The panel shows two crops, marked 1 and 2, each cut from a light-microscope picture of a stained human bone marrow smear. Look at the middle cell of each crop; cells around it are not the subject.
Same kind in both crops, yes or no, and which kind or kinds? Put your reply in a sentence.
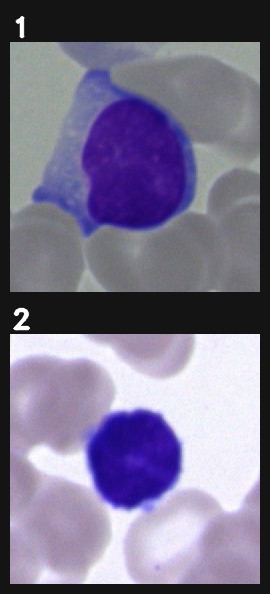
Yes, they do, both crops show lymphocytes.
